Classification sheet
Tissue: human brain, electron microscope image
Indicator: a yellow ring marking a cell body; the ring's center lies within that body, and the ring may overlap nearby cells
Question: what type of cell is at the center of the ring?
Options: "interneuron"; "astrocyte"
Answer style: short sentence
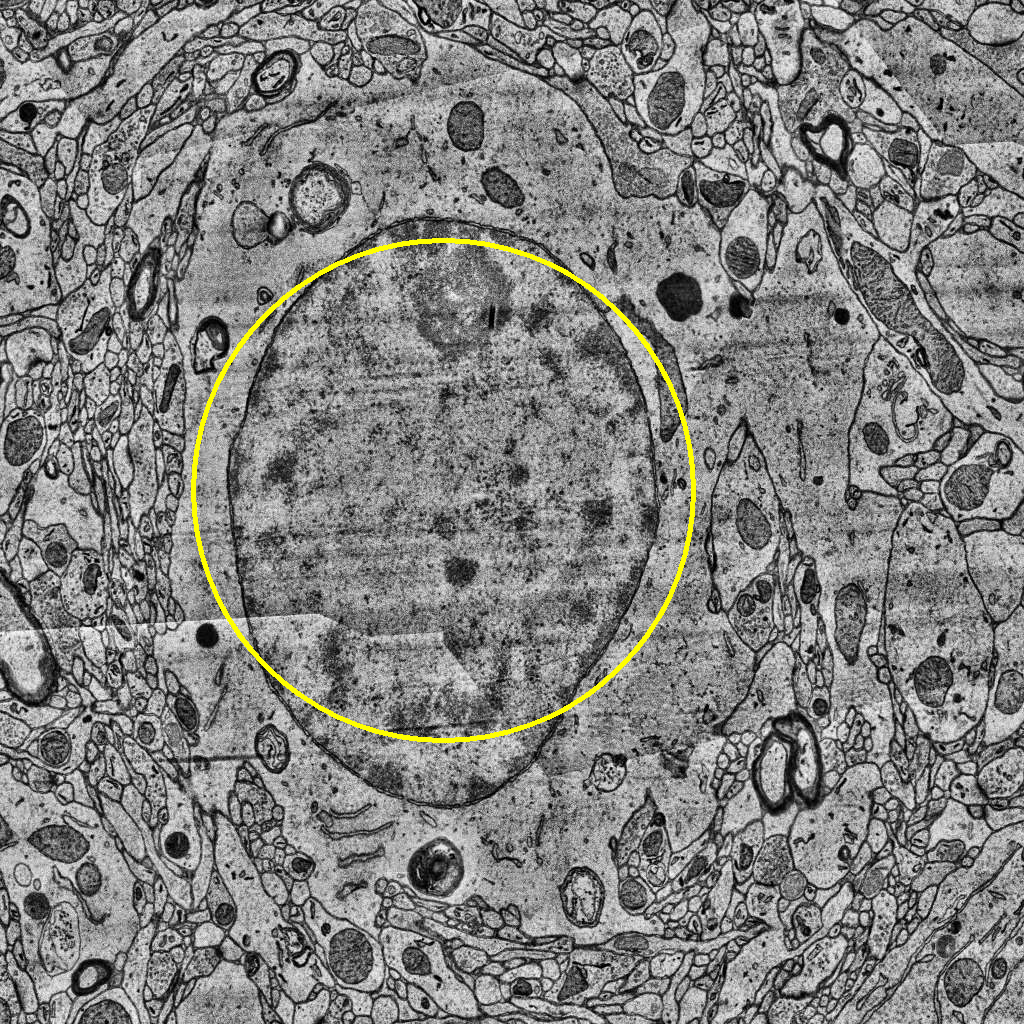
At the ring's center is an astrocyte.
